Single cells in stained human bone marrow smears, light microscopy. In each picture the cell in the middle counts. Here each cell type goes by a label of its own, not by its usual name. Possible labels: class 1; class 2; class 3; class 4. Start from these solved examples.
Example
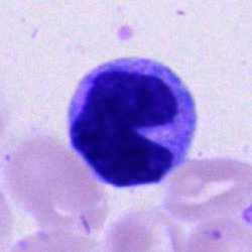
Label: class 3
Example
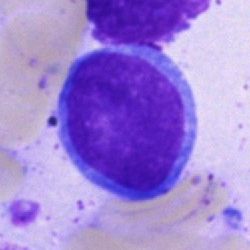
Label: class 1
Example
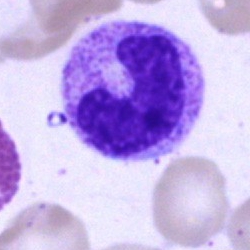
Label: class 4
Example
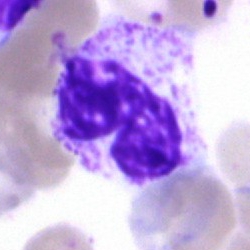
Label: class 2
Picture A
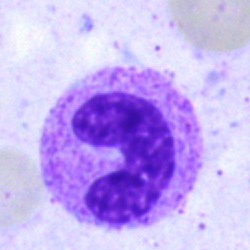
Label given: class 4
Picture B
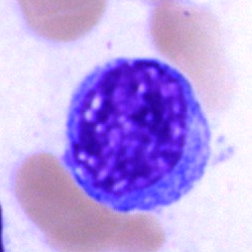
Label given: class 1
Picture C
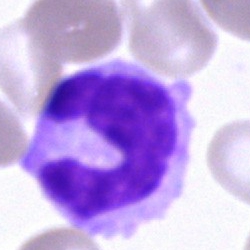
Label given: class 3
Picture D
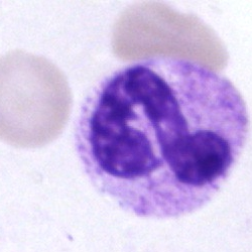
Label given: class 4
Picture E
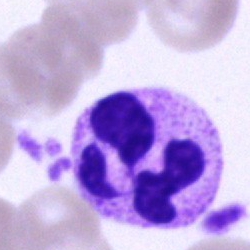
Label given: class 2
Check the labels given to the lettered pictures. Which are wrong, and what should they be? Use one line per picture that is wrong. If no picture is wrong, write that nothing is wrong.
All labels are correct.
